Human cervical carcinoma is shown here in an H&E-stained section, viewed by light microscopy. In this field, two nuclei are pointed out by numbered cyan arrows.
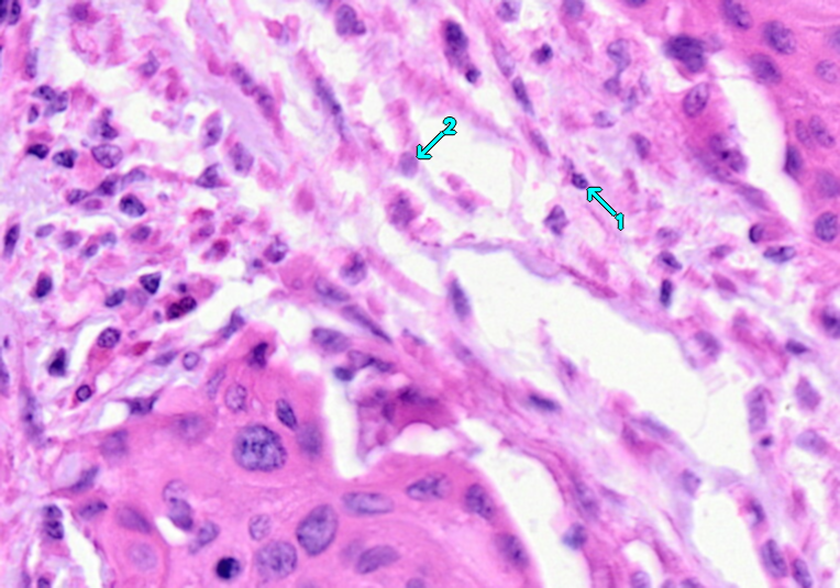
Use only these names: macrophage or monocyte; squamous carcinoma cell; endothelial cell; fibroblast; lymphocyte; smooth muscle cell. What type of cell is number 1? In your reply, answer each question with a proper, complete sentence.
The cell numbered 1 represents a lymphocyte.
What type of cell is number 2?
Cell 2 should be recorded as a fibroblast.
